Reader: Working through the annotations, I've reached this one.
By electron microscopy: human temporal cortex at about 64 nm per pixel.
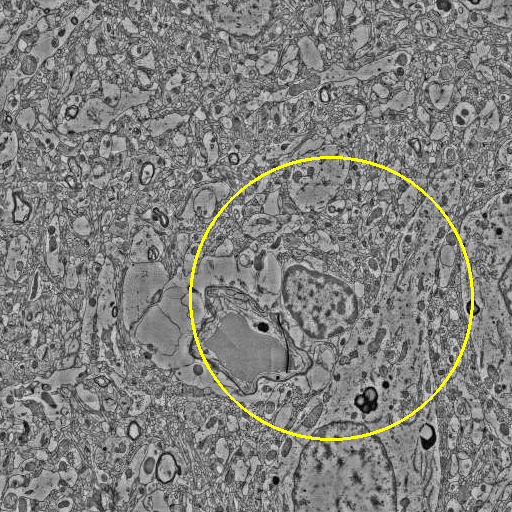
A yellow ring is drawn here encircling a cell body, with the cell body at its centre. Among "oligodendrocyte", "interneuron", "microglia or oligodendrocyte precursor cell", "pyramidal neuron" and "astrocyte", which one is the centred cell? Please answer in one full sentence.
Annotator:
The cell body at the centre of the yellow ring in this image belongs to a microglial cell or oligodendrocyte precursor cell.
